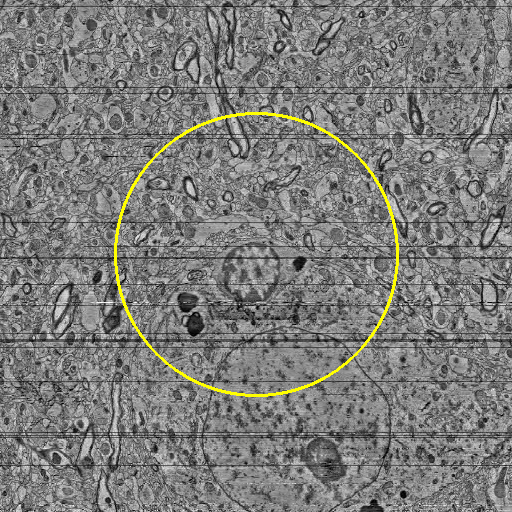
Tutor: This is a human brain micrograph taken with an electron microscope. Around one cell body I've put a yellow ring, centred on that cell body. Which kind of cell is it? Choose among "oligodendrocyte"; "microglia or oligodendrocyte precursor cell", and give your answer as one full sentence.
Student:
Going by your list, the cell centred in the yellow ring is an oligodendrocyte.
